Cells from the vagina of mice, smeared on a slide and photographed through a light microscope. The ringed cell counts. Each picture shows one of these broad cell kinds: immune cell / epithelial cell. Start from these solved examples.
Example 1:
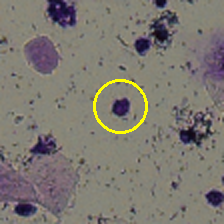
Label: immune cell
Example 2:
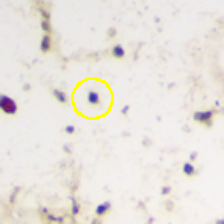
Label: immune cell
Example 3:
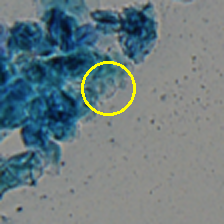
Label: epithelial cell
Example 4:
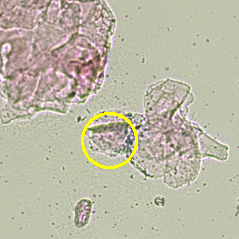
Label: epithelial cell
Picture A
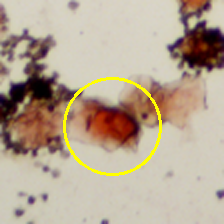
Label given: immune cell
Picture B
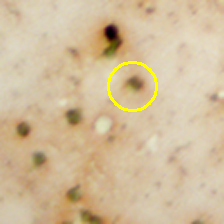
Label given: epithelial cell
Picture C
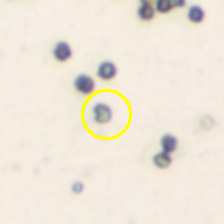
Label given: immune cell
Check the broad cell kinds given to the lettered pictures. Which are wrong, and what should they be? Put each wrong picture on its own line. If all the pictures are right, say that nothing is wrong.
A: not immune cell but epithelial cell
B: not epithelial cell but immune cell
